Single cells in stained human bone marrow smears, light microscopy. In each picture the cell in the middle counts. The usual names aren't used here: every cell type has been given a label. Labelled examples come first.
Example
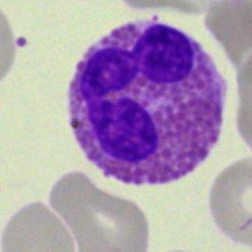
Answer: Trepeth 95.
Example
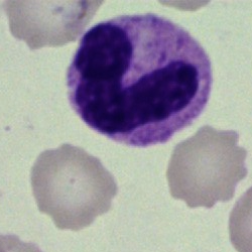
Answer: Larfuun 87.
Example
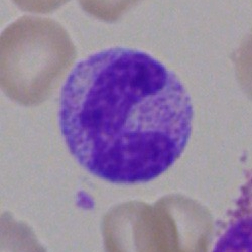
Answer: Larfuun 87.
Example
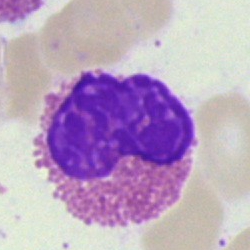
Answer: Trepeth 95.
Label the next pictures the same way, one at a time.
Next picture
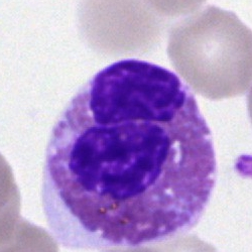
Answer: Trepeth 95.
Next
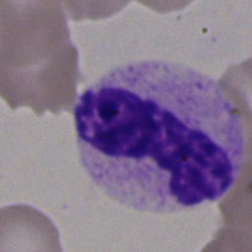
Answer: Larfuun 87.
